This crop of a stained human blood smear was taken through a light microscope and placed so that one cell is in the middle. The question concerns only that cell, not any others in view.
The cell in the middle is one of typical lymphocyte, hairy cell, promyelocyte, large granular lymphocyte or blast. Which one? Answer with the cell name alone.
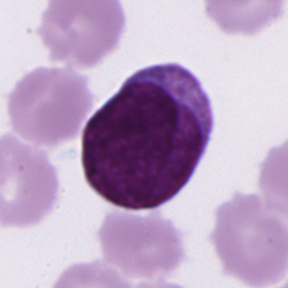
blast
